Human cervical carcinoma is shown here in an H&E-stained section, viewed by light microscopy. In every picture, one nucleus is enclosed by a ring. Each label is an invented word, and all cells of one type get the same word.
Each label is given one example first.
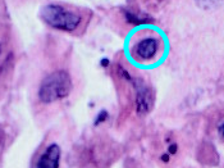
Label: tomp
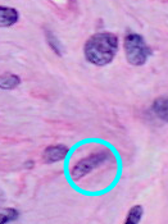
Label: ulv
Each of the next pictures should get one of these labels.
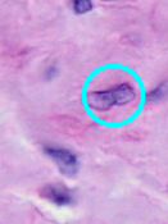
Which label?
ulv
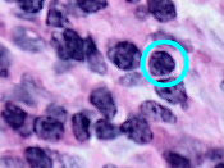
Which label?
tomp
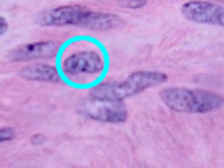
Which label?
ulv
